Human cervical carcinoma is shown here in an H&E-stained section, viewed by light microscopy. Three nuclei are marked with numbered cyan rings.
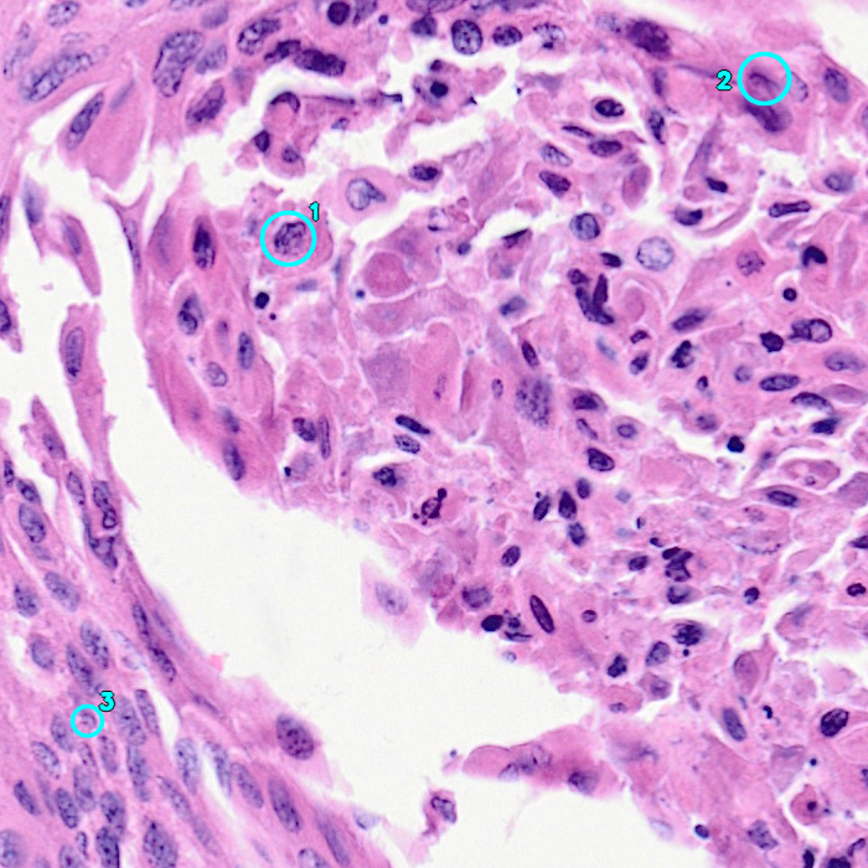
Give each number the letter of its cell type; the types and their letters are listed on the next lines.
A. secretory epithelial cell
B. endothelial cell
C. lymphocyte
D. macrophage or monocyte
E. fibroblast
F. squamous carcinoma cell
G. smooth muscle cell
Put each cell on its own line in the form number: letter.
1: D
2: F
3: F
